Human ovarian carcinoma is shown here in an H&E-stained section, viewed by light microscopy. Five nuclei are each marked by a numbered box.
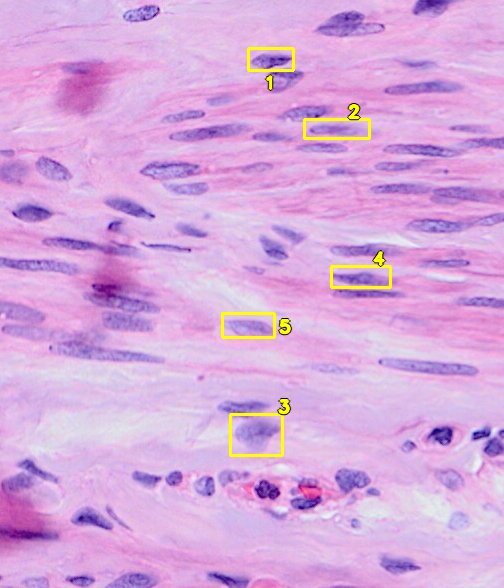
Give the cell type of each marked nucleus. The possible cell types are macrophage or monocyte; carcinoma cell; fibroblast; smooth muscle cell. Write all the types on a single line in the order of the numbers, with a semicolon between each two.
fibroblast; smooth muscle cell; fibroblast; smooth muscle cell; smooth muscle cell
